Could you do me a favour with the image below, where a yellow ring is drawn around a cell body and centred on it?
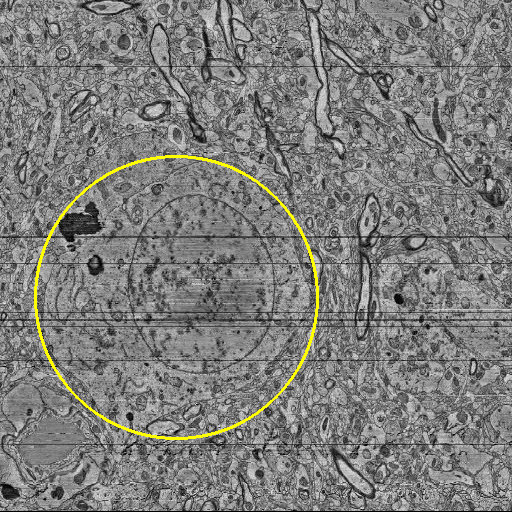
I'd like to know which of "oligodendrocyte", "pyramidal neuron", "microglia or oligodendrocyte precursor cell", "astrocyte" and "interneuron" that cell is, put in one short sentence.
The cell at the ring's centre is a pyramidal neuron.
